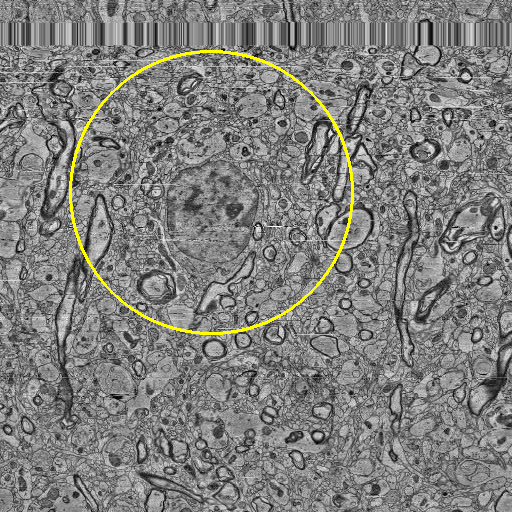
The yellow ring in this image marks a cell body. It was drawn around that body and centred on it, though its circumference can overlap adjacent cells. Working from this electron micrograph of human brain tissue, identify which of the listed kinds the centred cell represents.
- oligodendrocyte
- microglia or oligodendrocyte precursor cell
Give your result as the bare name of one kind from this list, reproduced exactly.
oligodendrocyte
